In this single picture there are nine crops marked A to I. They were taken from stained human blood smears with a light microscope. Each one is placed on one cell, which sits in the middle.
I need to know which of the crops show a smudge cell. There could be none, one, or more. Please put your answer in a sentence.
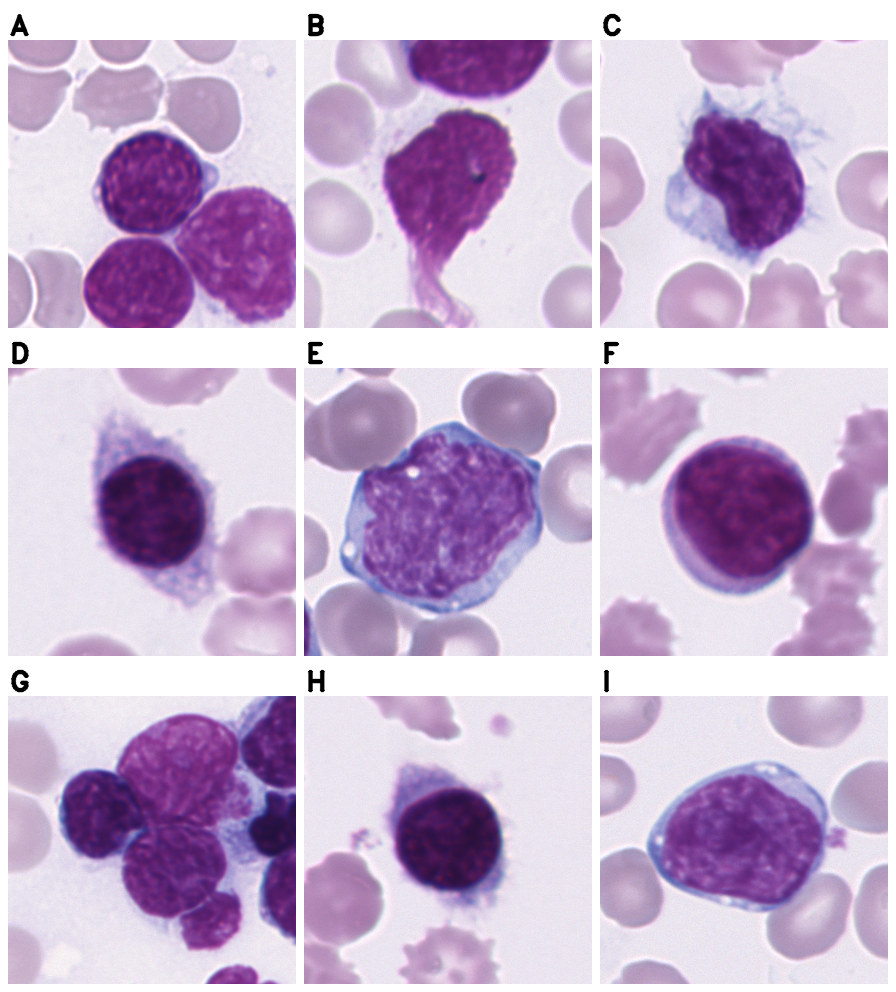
The only crop in which a smudge cell is shown is crop B.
